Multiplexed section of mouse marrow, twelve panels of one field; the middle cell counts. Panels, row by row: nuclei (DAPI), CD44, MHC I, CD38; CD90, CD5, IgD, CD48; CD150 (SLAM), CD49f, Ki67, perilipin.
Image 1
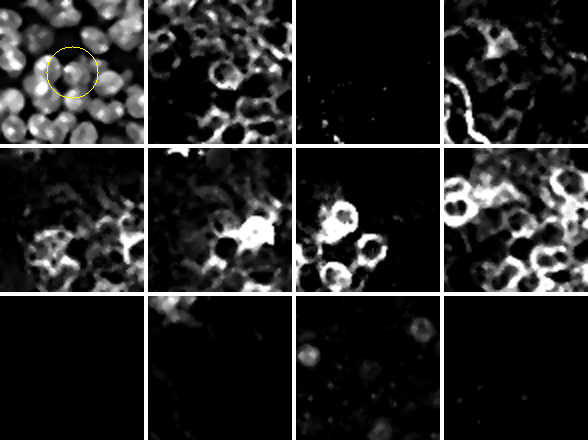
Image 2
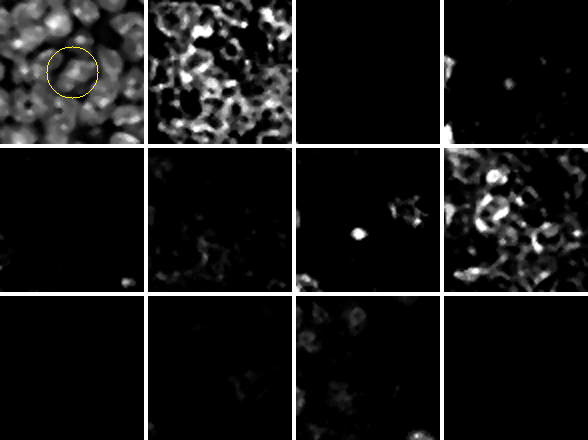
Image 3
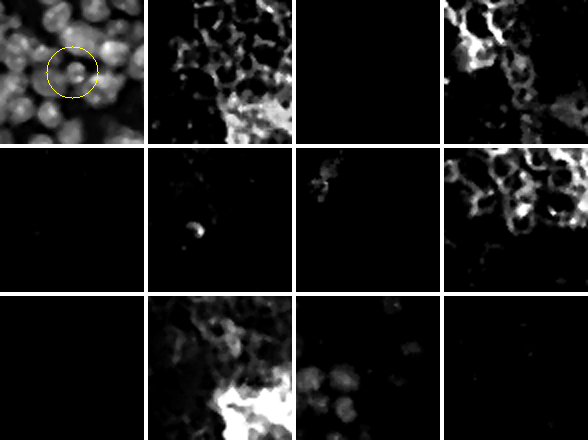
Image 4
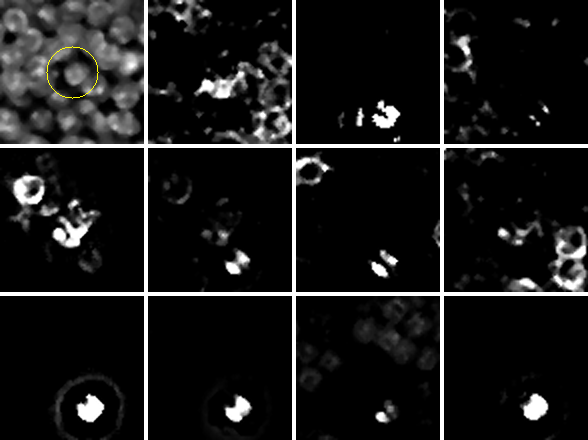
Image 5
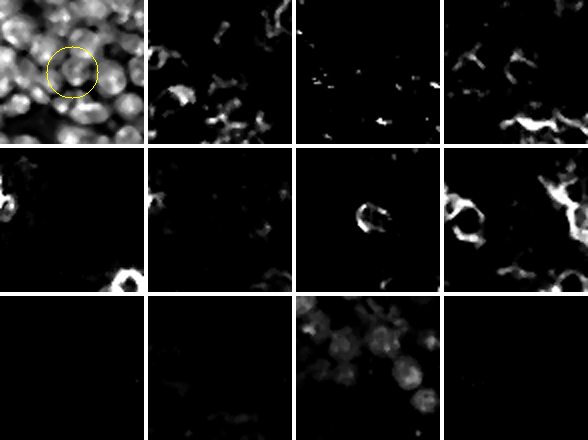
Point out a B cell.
That is picture 5.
